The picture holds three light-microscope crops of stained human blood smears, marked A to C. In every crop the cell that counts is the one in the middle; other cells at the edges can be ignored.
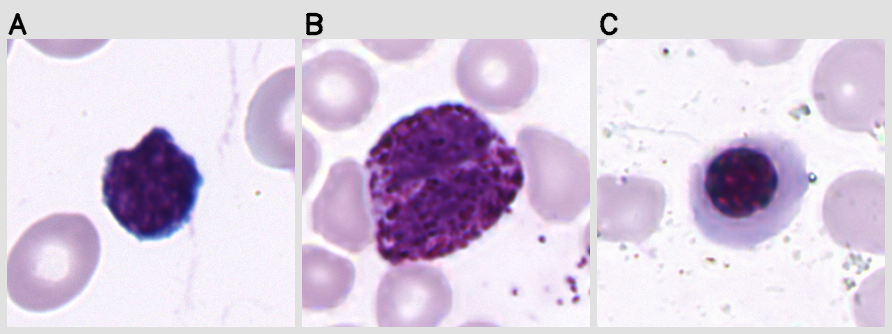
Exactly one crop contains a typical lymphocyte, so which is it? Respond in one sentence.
Crop A is the one that shows a typical lymphocyte.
